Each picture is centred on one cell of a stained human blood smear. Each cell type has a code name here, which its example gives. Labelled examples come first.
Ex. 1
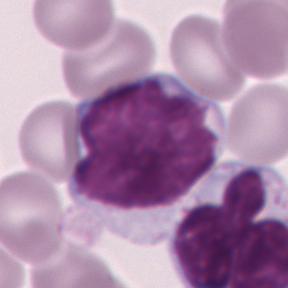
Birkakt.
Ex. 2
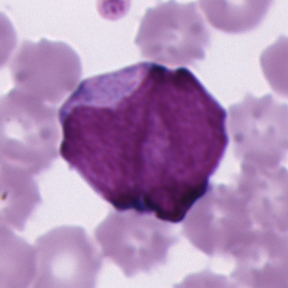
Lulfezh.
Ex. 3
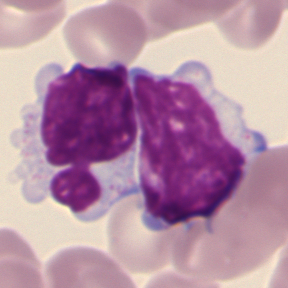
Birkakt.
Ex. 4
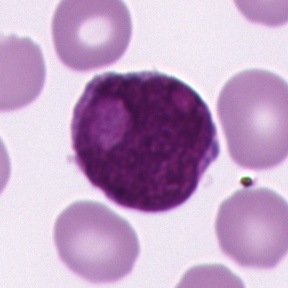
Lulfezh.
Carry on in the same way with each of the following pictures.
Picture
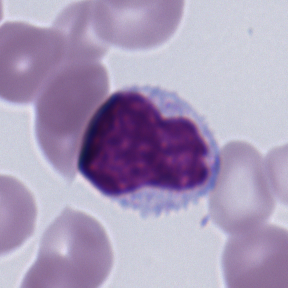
Birkakt.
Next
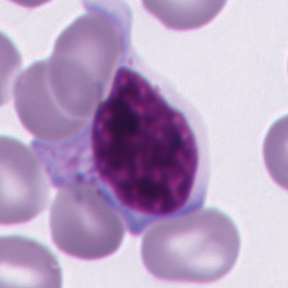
Birkakt.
